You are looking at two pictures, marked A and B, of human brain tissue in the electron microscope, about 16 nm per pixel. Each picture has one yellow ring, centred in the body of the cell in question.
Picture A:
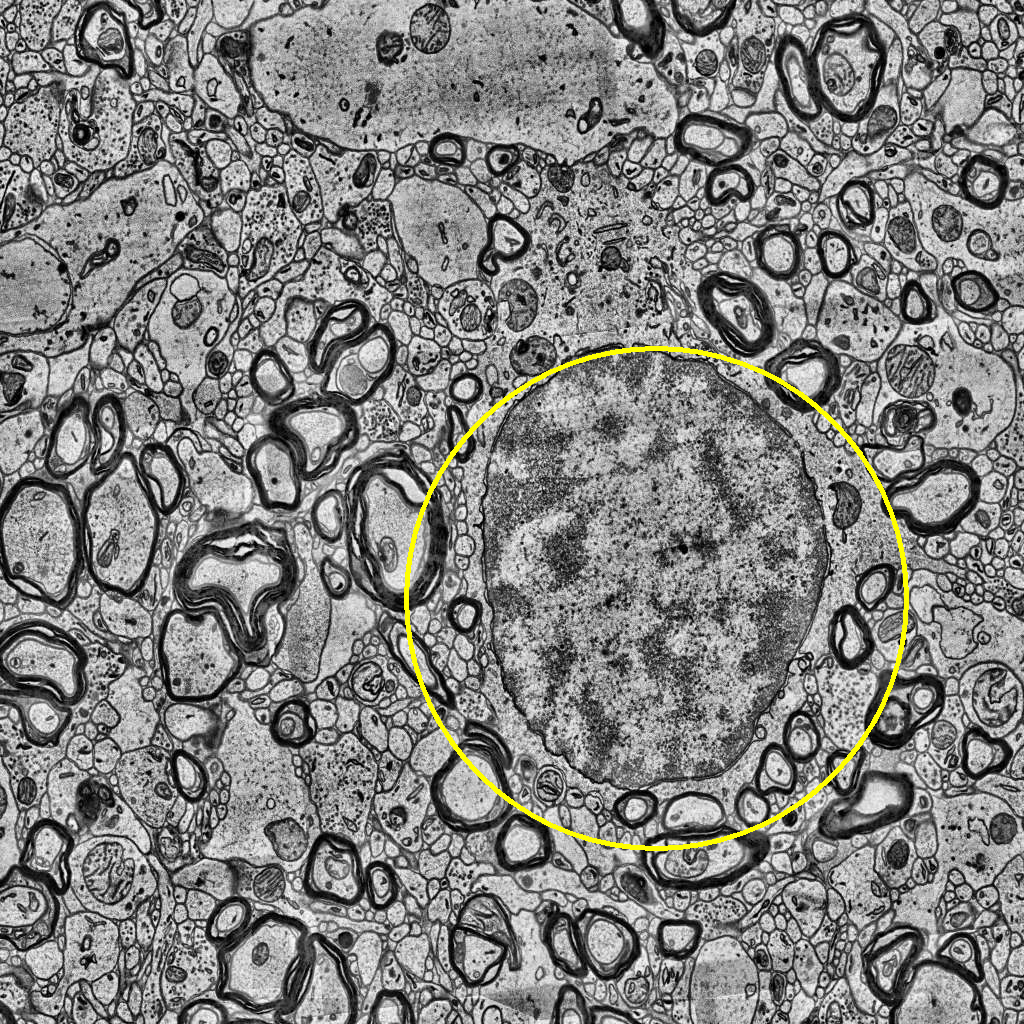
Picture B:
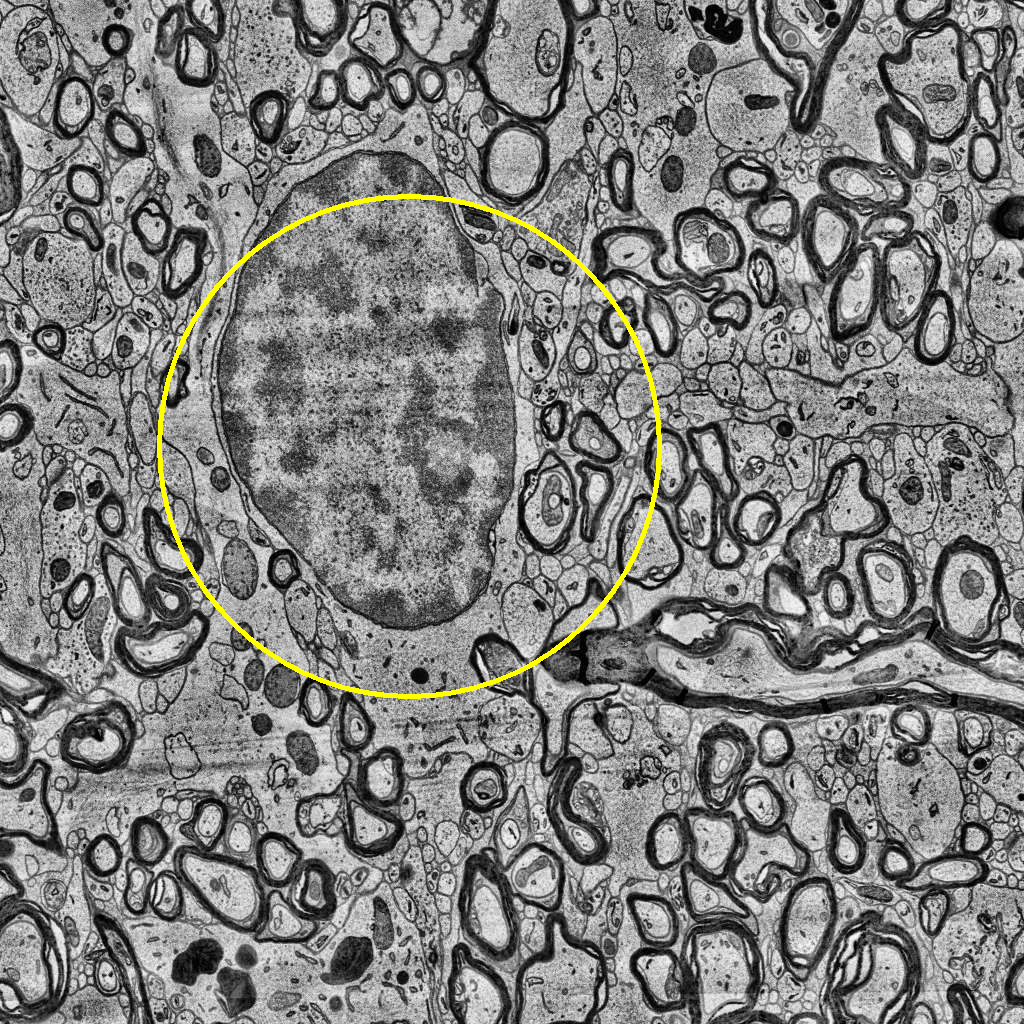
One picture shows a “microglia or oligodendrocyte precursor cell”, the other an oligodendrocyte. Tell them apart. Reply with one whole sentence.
It is picture A that shows an oligodendrocyte, and picture B that shows a “microglia or oligodendrocyte precursor cell”.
